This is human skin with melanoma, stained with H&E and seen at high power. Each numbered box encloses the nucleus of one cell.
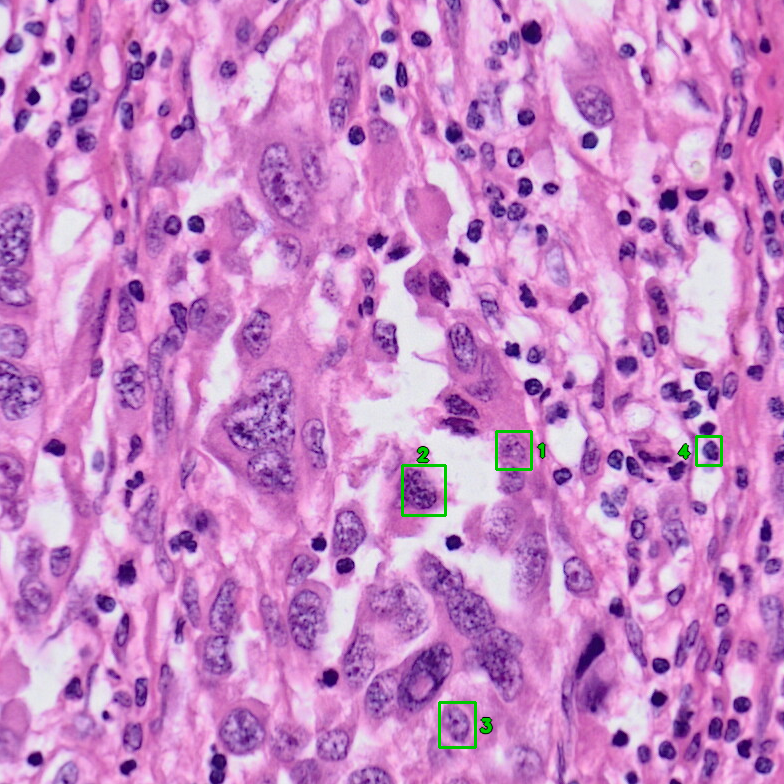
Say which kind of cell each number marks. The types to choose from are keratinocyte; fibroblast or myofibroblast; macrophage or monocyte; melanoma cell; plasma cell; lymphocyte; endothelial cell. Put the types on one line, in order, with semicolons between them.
melanoma cell; melanoma cell; melanoma cell; lymphocyte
